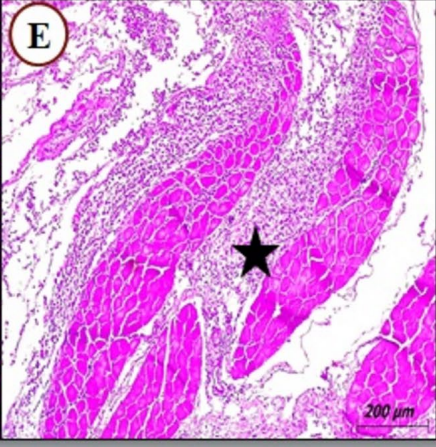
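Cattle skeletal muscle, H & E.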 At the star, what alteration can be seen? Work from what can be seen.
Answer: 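Many small dark nuclei fill the spaces between muscle fiber bundles. The infiltrated interstitium is widened and loose. The answer: severe inflammatory infiltrations.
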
